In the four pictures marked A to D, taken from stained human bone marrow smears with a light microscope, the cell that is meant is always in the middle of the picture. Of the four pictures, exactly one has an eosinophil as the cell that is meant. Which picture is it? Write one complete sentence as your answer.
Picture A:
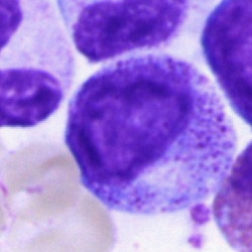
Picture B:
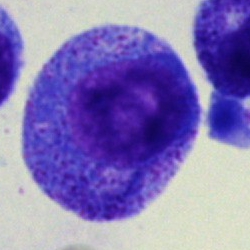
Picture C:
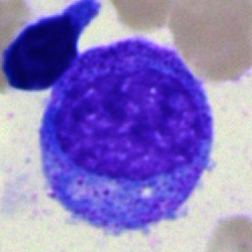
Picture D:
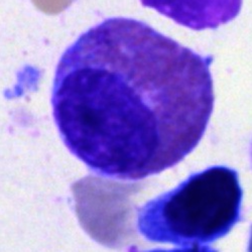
Picture D is the one that shows the eosinophil.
